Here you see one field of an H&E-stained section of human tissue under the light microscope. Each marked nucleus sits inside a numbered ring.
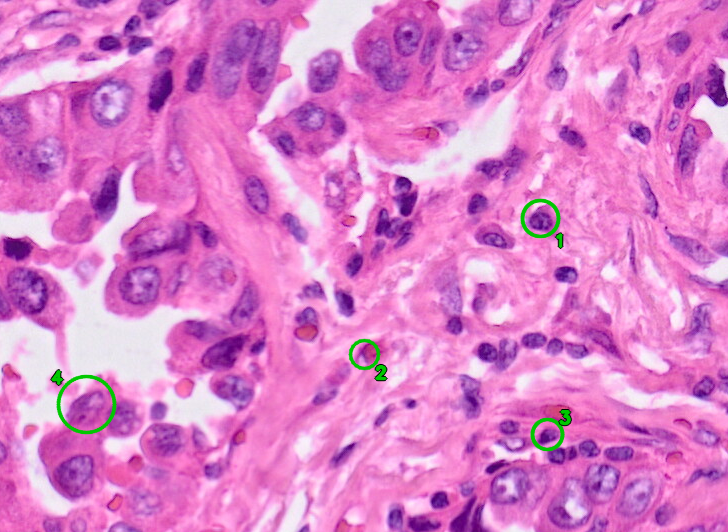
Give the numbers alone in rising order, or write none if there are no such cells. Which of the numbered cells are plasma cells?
1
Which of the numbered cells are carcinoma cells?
4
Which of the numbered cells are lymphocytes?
3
